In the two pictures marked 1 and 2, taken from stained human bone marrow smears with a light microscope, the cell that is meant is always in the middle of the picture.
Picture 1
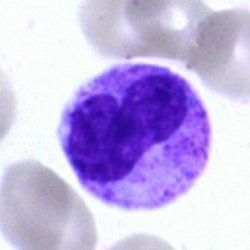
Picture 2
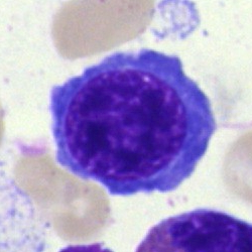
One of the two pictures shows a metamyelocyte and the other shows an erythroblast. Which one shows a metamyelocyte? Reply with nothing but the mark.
1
